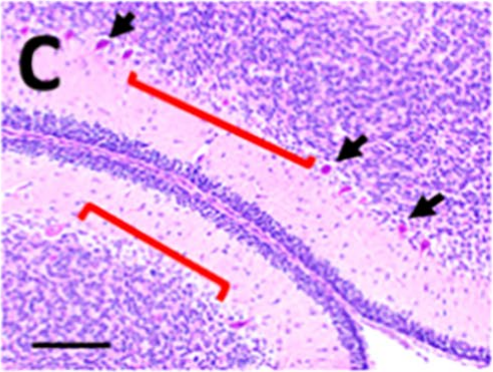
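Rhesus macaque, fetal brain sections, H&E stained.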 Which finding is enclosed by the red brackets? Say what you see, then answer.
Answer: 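The bracketed stretches follow the border between the dense blue granular layer and the pale molecular layer. Along these stretches no large cell bodies are present. The answer: focal Purkinje cell dropout.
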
